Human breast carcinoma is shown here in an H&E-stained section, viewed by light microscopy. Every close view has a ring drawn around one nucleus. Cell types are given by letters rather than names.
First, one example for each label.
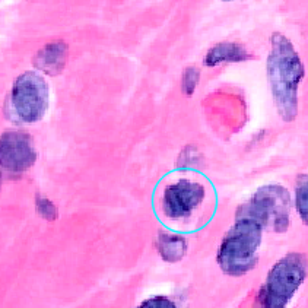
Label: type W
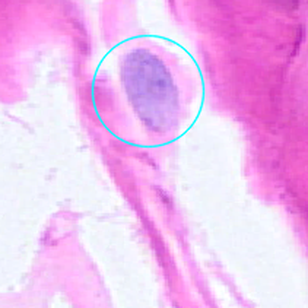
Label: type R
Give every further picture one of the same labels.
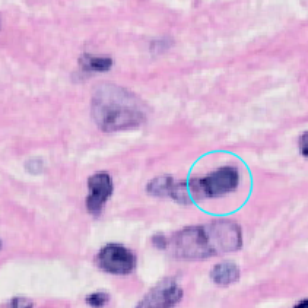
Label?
type W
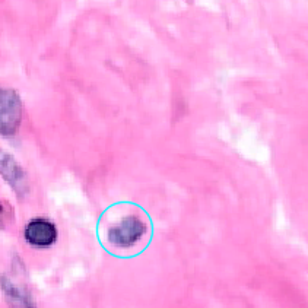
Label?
type W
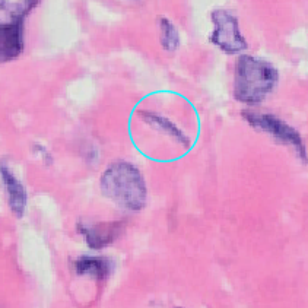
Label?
type R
